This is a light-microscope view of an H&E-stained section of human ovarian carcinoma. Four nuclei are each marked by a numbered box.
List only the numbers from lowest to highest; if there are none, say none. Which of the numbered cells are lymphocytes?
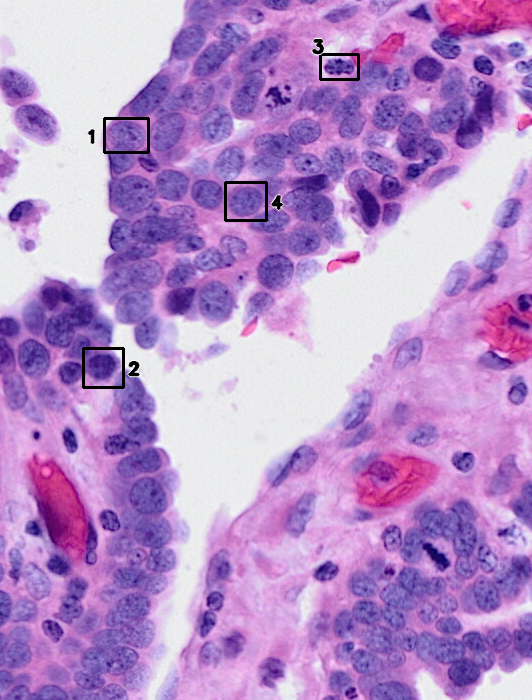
3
